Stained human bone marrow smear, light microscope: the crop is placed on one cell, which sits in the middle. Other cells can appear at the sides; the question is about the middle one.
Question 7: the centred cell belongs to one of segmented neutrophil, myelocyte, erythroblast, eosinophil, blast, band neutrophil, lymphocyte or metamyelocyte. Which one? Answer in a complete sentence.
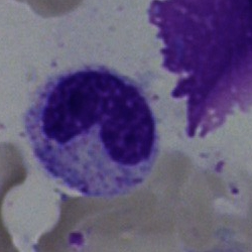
Classification of the middle cell gives a band neutrophil.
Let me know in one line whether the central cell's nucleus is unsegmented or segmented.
Between us, the nucleus here is just one compact mass, round, oval or kidney-shaped.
